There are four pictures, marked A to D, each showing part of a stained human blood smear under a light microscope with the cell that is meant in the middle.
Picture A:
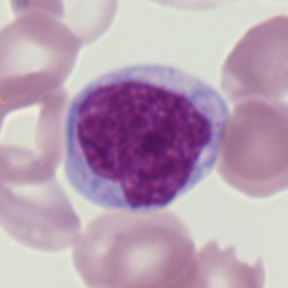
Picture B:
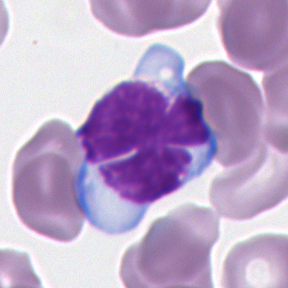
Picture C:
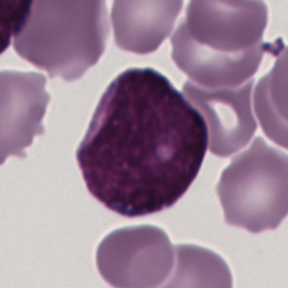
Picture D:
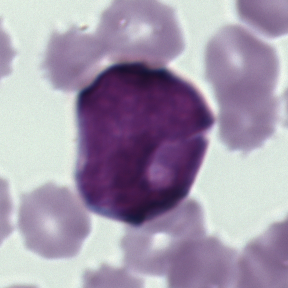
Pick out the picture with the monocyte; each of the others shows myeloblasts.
A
